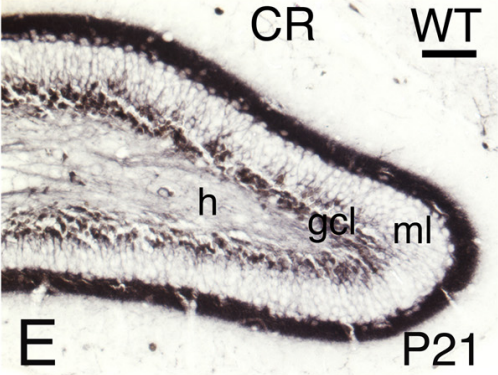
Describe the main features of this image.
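The section shows the dentate gyrus, a U-shaped blade of tightly packed, pale, round granule cell bodies folded around the cell-poor hilus. A dark brown band runs along the outer edge of the blade beyond a paler molecular layer.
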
